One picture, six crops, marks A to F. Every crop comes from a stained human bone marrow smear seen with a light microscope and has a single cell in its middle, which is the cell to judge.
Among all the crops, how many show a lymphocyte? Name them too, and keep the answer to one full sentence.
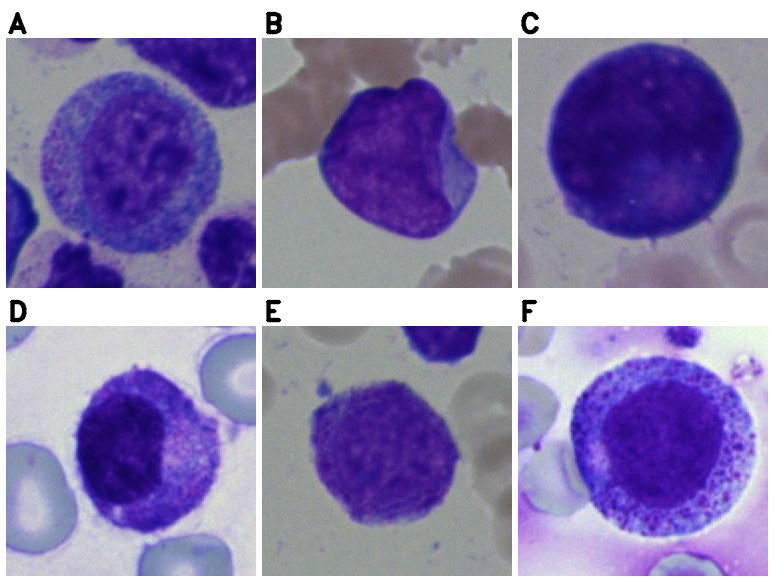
Zero lymphocytes are shown, as none of the crops contains any.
